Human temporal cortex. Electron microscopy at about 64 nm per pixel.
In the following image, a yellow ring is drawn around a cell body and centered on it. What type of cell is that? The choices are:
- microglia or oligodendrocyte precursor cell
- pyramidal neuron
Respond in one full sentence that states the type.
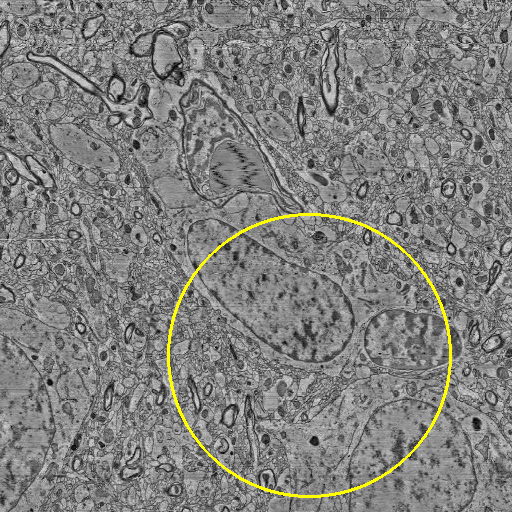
The cell at the center of the yellow ring in the image is a microglial cell or oligodendrocyte precursor cell.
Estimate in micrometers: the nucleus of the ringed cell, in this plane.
About 11 by 6 micrometers in this plane, so the nucleus is clearly longer than it is wide.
